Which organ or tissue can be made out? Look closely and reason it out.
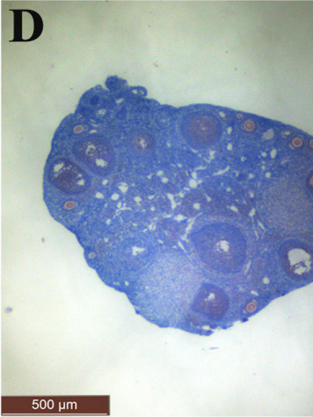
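Ovaries. An oval organ section studded with round follicles of various sizes. Several follicles contain a central oocyte and some have a fluid-filled cavity.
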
